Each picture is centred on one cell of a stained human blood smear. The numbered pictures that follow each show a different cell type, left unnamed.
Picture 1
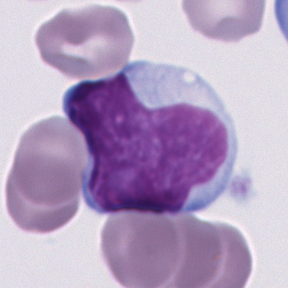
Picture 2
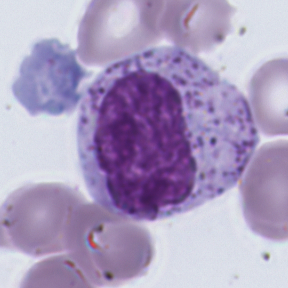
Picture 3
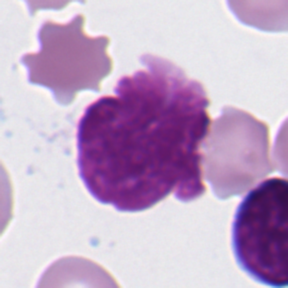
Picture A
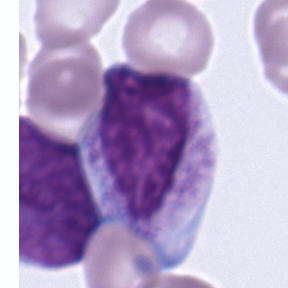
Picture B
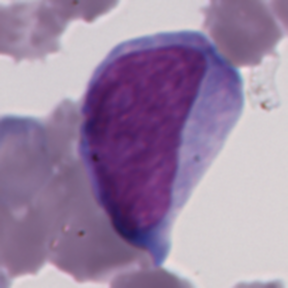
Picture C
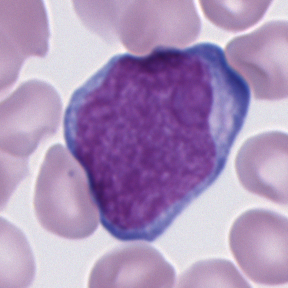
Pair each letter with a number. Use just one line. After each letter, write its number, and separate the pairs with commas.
A 2, B 1, C 1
